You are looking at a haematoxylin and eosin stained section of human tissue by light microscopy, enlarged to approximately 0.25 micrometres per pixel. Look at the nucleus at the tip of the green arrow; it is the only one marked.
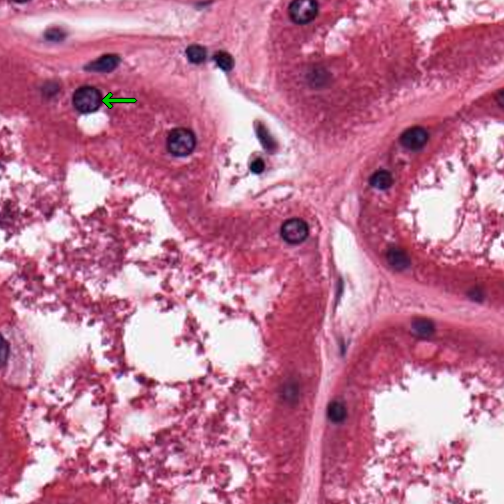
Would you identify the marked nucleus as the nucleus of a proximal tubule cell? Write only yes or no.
yes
